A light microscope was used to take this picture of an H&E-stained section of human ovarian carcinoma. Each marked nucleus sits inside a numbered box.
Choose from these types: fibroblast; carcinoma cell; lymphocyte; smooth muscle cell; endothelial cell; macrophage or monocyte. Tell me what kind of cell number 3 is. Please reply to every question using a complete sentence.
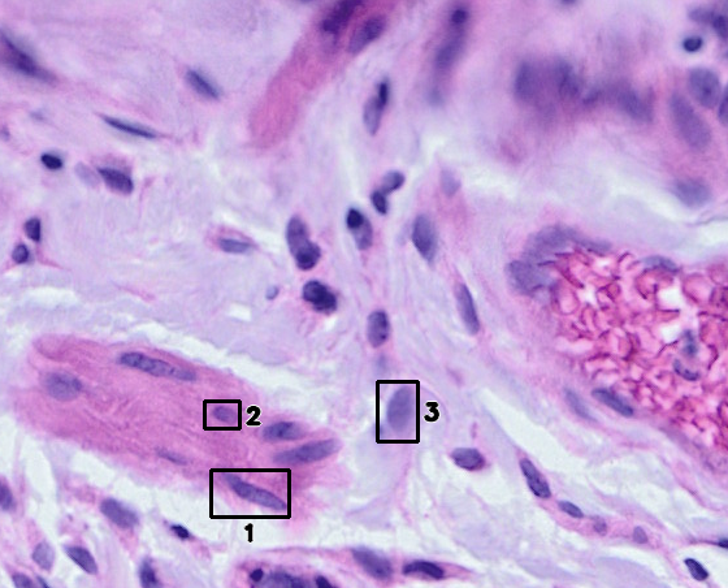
The cell to which the number 3 is assigned is a fibroblast.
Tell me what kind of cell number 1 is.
The cell numbered 1 has been identified as a smooth muscle cell.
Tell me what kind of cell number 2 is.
In this section, number 2 marks a smooth muscle cell.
